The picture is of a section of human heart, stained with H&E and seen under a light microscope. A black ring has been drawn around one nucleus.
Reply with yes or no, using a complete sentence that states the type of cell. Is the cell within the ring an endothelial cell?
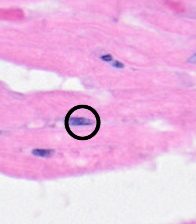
Yes, it holds that the cell within the ring is an endothelial cell.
